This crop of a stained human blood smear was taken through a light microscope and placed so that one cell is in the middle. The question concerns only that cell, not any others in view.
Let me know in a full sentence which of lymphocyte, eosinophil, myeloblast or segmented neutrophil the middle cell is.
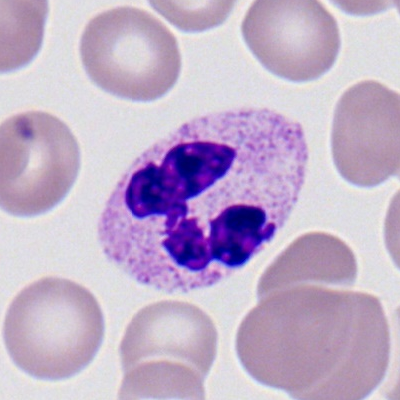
At the crop's centre, the cell is a segmented neutrophil.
